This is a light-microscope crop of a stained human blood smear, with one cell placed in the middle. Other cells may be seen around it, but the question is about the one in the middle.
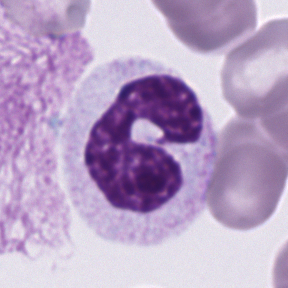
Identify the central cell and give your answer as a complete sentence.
The cell marked by its central position in the crop is a band neutrophil.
